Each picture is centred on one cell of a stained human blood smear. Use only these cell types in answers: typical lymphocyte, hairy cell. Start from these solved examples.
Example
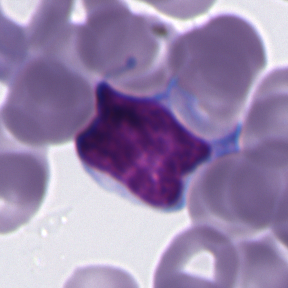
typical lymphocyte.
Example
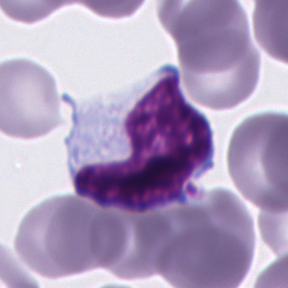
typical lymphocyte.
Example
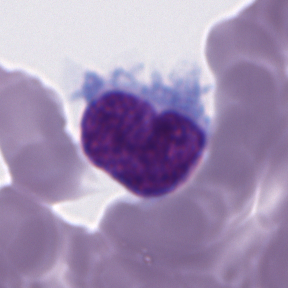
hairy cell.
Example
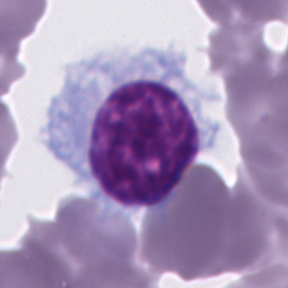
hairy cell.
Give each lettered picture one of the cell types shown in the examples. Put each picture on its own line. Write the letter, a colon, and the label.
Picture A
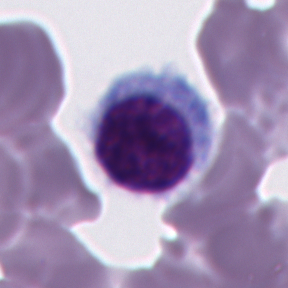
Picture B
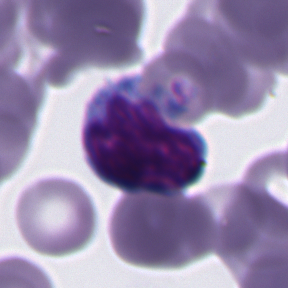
A: hairy cell.
B: typical lymphocyte.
